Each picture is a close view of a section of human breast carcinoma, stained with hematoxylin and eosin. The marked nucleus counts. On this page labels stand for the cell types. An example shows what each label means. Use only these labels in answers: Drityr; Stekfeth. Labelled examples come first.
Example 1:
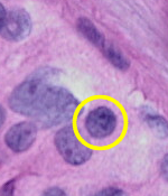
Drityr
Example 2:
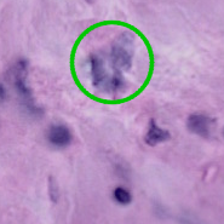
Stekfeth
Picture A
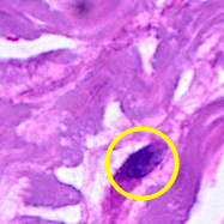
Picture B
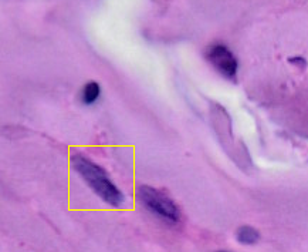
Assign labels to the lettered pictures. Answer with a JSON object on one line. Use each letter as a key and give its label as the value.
{"A": "Stekfeth", "B": "Stekfeth"}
